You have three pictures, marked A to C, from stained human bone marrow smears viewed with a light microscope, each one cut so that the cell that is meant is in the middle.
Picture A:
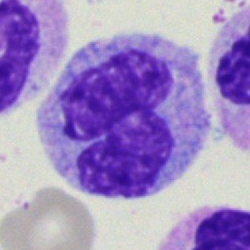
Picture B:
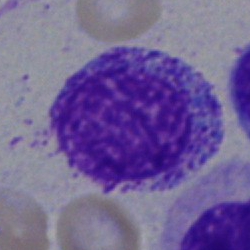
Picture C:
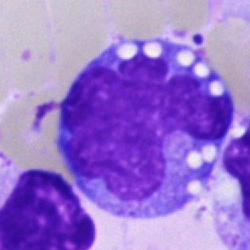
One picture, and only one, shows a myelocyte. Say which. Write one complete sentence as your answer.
The myelocyte is the one in picture B.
